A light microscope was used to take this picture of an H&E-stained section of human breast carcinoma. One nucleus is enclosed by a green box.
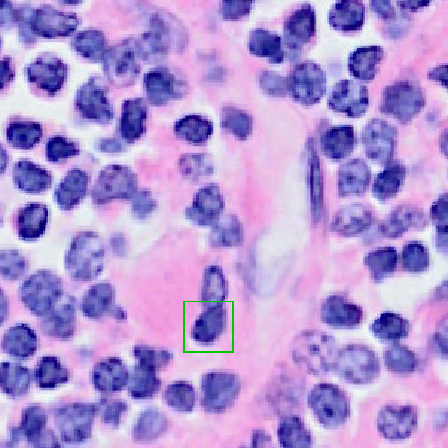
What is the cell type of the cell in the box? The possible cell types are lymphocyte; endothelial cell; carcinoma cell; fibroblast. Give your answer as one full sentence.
So far as cell type goes, the cell in the box is a lymphocyte.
